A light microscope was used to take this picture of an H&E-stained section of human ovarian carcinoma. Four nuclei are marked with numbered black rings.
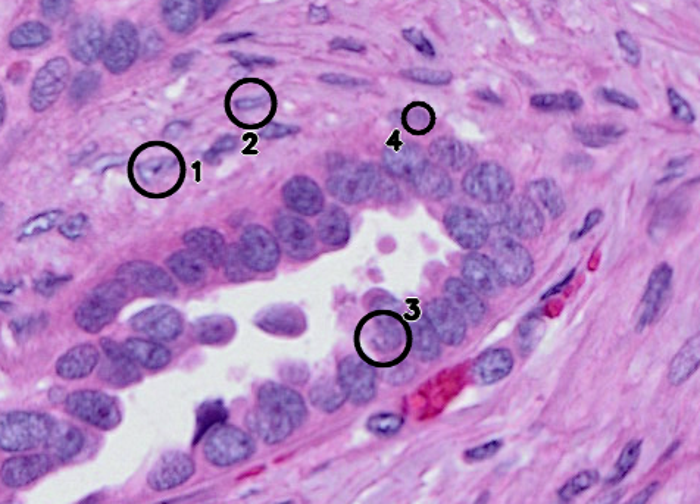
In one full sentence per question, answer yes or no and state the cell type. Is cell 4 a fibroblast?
Yes, the cell numbered 4 in this tissue is a fibroblast.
